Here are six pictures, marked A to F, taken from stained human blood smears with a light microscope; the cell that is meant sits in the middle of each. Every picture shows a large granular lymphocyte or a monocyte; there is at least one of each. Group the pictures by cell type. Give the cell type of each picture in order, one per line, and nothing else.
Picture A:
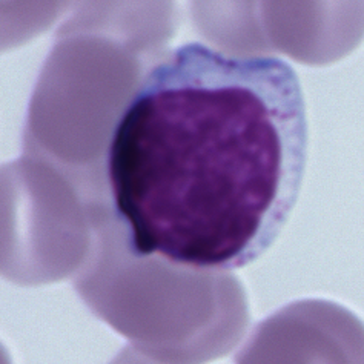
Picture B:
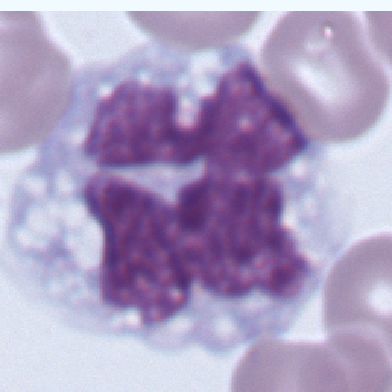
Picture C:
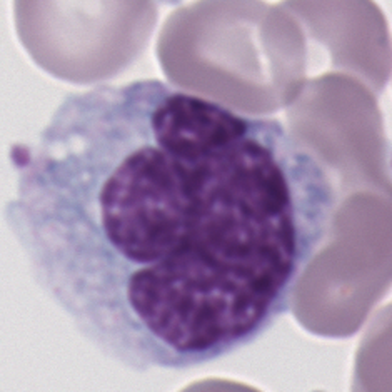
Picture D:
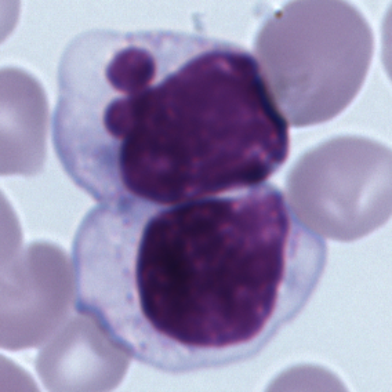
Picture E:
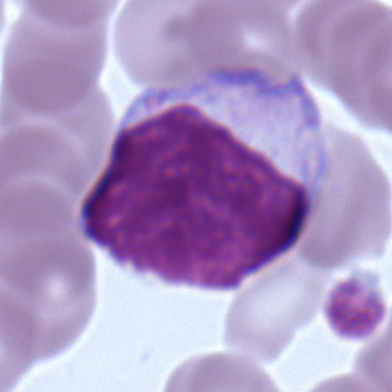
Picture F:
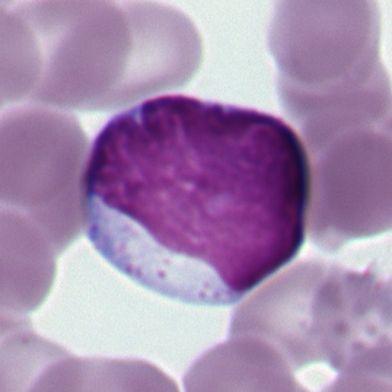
large granular lymphocyte
monocyte
monocyte
large granular lymphocyte
large granular lymphocyte
large granular lymphocyte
